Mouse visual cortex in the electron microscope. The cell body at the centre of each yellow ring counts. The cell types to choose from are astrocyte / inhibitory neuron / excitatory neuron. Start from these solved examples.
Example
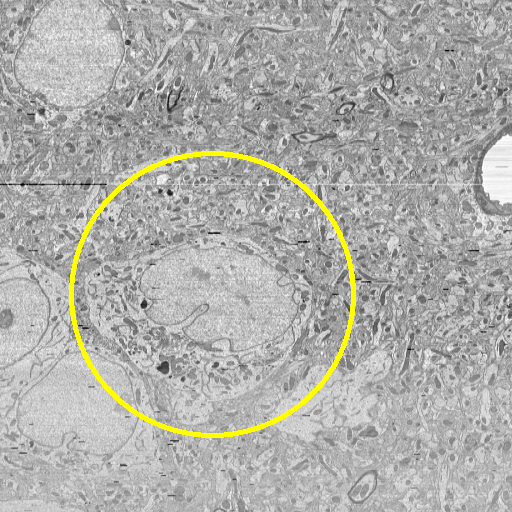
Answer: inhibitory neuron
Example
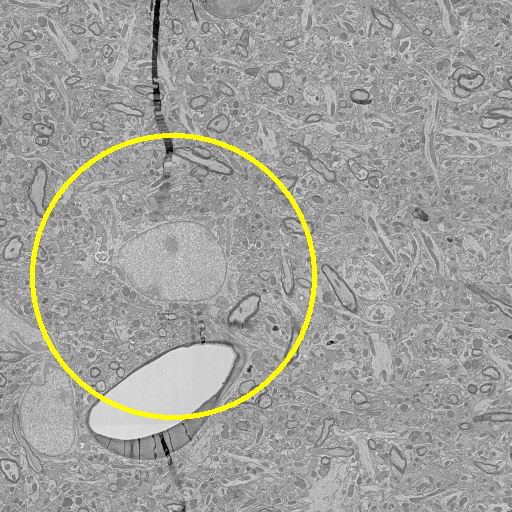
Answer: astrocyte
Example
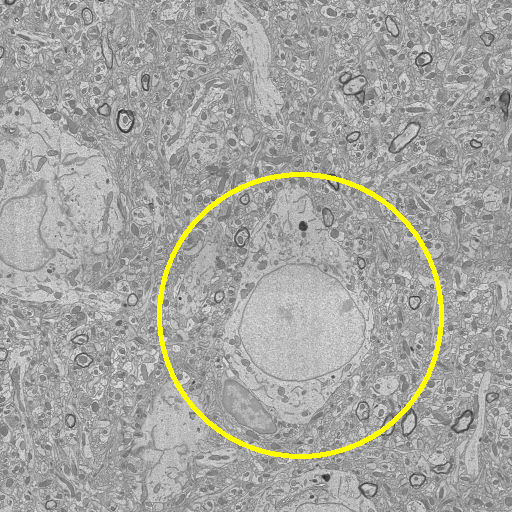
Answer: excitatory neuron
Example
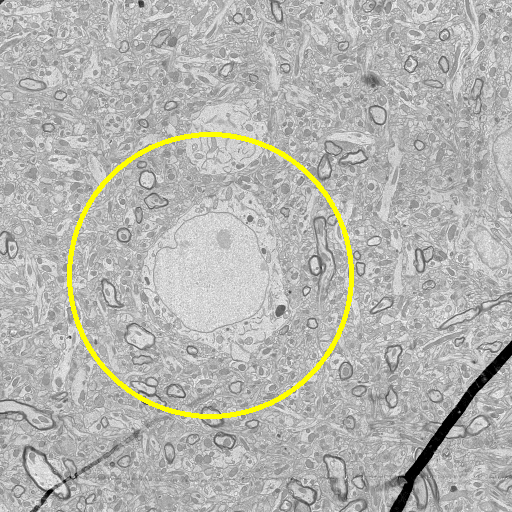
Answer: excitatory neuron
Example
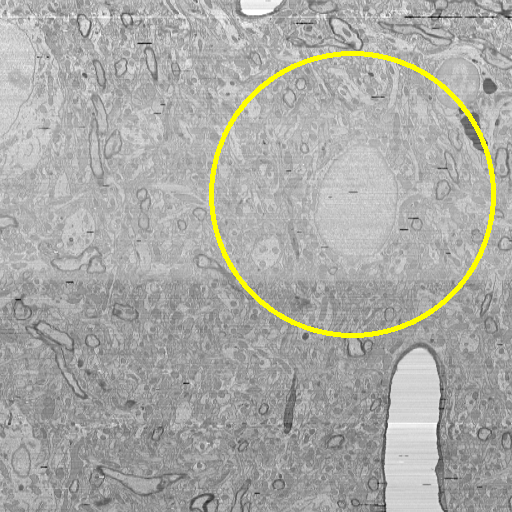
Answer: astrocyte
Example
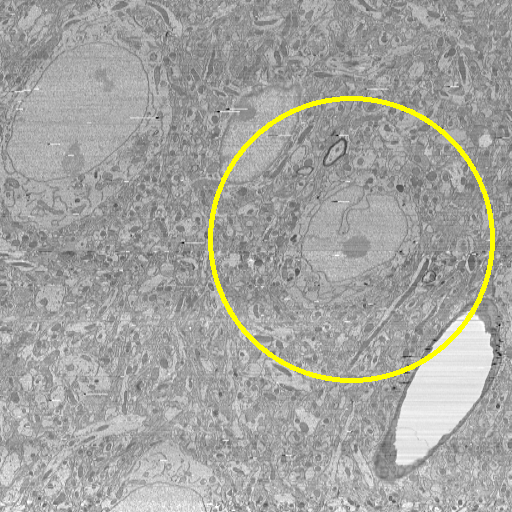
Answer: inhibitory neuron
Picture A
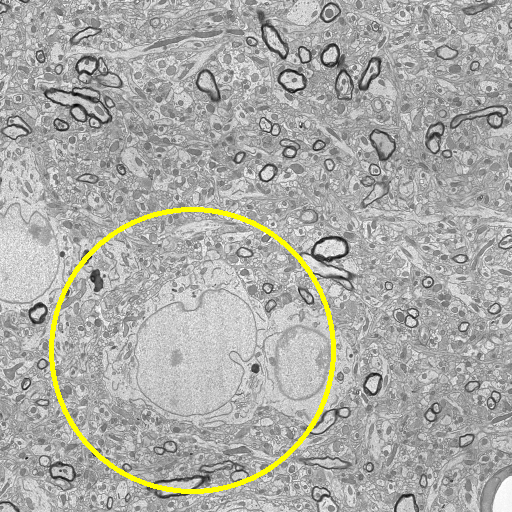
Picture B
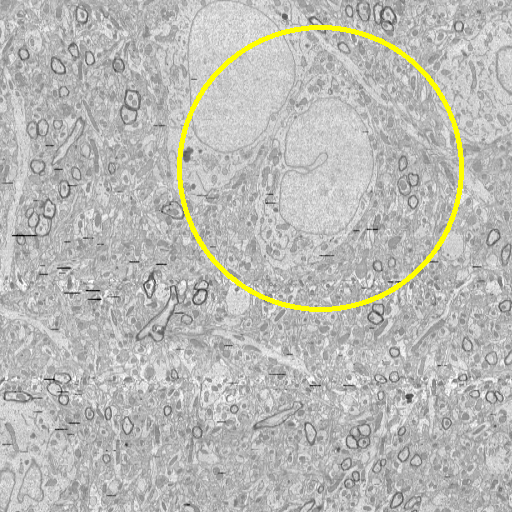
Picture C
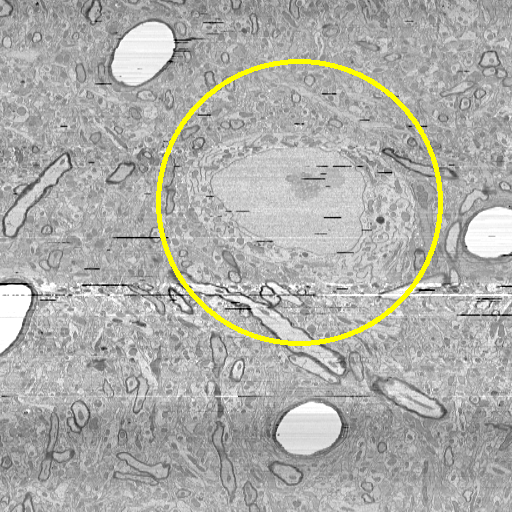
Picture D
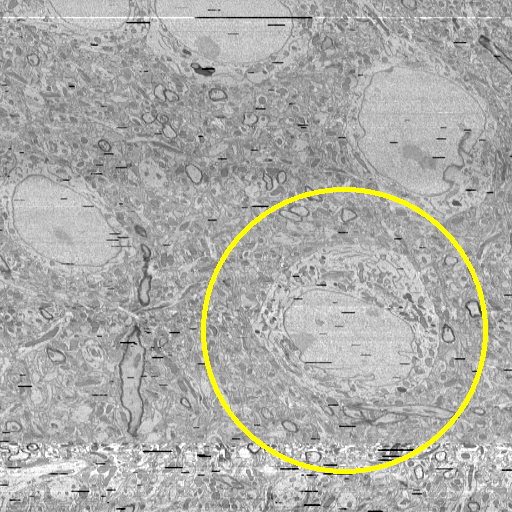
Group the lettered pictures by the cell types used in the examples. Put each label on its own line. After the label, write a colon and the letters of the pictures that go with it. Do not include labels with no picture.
inhibitory neuron: B, C, D
excitatory neuron: A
